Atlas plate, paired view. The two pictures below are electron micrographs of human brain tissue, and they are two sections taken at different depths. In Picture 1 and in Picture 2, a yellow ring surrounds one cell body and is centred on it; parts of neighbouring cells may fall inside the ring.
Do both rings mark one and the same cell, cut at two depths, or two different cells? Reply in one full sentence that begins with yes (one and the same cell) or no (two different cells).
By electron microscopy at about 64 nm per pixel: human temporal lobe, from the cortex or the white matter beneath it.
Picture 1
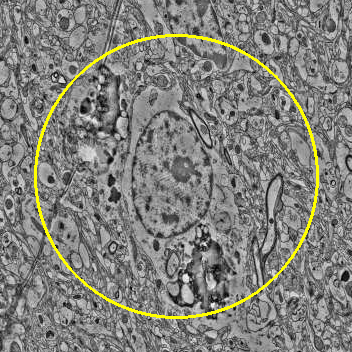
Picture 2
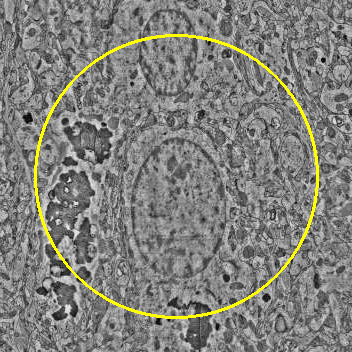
No, the yellow rings highlight two different cells in the tissue.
